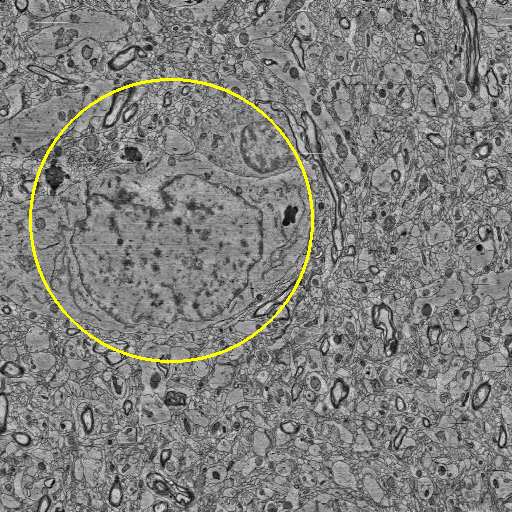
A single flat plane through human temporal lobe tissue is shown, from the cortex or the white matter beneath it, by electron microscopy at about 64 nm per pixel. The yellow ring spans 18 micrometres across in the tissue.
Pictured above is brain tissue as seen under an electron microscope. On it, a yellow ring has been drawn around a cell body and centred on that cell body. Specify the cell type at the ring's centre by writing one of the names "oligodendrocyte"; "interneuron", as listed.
interneuron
